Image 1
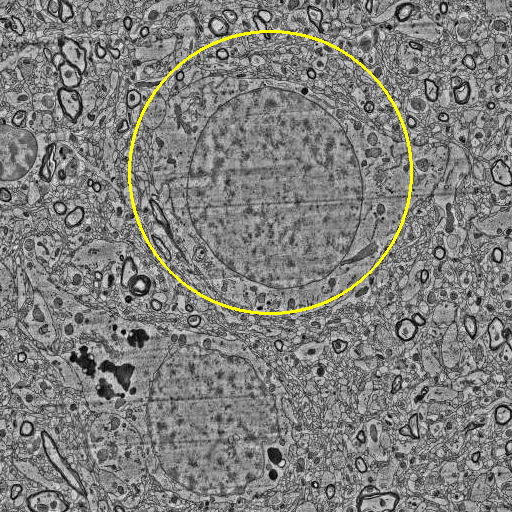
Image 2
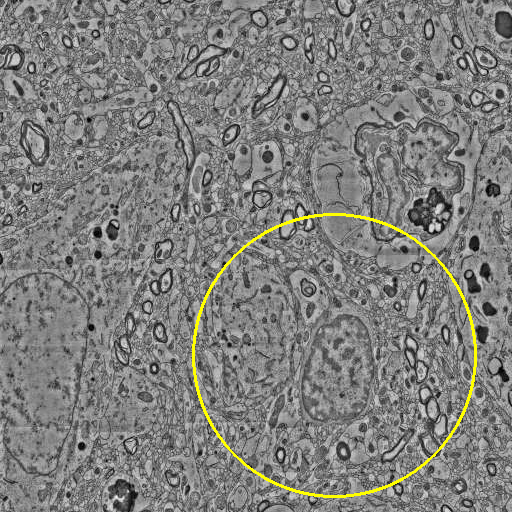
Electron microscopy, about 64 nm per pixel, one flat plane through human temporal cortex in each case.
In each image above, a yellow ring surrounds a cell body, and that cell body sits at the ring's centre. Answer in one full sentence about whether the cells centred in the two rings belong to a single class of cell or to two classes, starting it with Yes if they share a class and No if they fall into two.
No, the cells centred in the two yellow rings belong to two classes of cell.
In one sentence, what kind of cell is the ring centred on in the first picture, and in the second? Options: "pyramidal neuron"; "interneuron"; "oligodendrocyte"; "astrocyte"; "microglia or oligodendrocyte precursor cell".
The cell at the centre of the second ring is an oligodendrocyte; the first ring's cell is a pyramidal neuron.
